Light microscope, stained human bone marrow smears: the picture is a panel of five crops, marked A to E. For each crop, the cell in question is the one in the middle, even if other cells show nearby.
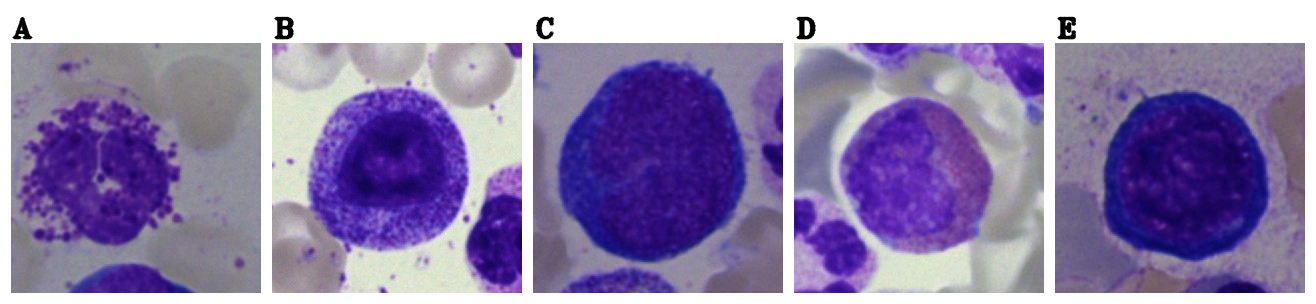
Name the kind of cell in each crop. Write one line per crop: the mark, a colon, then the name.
A: basophil
B: myelocyte
C: proerythroblast
D: eosinophil
E: proerythroblast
